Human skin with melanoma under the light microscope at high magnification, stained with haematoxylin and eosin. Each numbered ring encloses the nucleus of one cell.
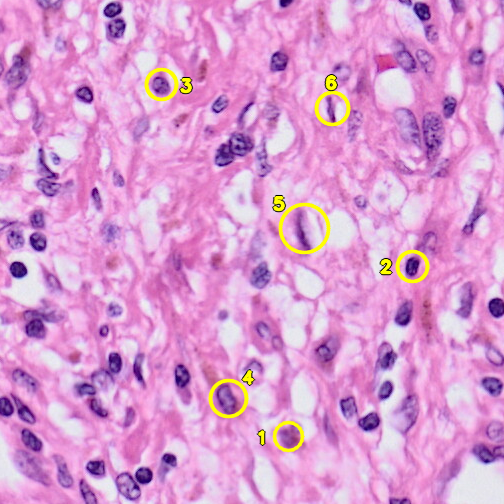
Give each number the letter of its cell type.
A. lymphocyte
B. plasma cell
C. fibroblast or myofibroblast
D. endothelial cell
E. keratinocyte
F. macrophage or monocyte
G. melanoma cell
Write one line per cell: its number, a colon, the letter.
1: F
2: A
3: F
4: F
5: C
6: C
